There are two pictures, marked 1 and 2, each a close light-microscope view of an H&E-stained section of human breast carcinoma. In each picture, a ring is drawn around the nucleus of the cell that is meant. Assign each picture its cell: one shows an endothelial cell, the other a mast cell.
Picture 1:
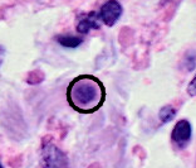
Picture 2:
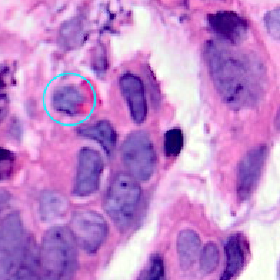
1: mast cell
2: endothelial cell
